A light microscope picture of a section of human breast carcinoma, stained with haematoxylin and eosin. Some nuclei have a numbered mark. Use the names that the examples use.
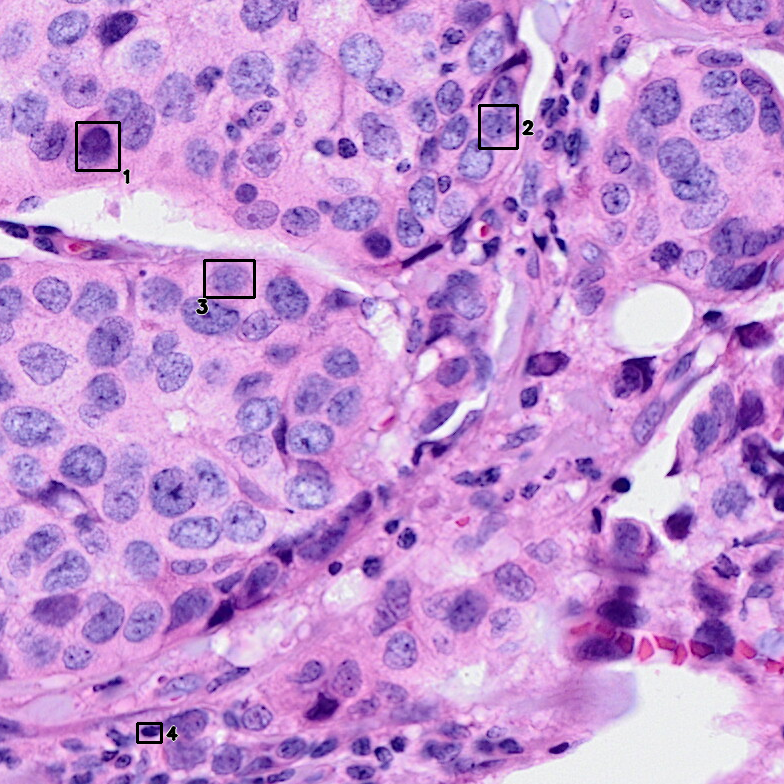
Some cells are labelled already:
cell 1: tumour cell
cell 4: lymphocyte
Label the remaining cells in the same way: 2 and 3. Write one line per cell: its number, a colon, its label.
2: tumour cell
3: tumour cell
